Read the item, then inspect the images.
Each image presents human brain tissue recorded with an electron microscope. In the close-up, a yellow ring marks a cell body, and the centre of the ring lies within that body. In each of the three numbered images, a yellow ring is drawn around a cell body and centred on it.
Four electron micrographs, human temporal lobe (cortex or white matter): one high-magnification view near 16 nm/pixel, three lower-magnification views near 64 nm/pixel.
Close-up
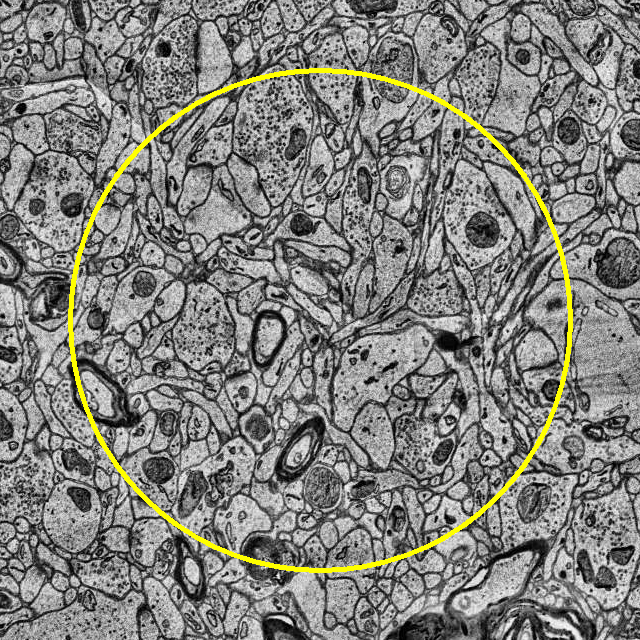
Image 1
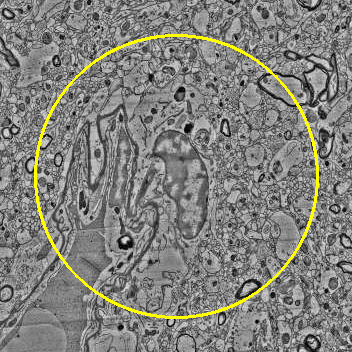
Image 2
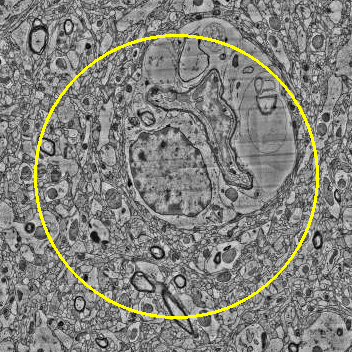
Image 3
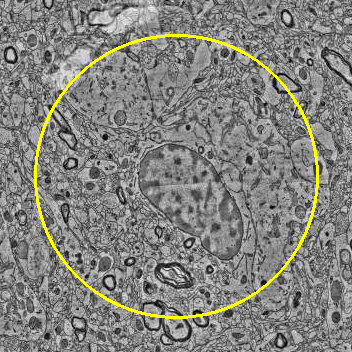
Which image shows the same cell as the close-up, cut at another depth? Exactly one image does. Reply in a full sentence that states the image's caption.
The close-up represents the cell enclosed by the ring in Image 3.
